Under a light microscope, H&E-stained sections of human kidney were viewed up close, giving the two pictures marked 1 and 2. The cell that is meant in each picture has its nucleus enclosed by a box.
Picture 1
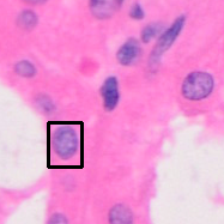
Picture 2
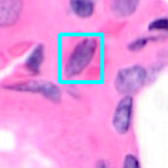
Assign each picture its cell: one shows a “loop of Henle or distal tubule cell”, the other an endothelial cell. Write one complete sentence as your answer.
Picture 1 shows a “loop of Henle or distal tubule cell” and picture 2 shows an endothelial cell.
